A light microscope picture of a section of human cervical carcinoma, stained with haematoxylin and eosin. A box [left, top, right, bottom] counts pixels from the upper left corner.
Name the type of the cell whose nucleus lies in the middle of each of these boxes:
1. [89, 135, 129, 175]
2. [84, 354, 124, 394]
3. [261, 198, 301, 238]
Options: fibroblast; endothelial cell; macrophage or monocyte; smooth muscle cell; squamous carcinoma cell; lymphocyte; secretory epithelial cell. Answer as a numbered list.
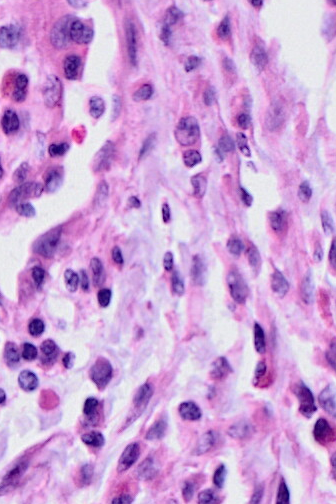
1. endothelial cell
2. macrophage or monocyte
3. macrophage or monocyte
